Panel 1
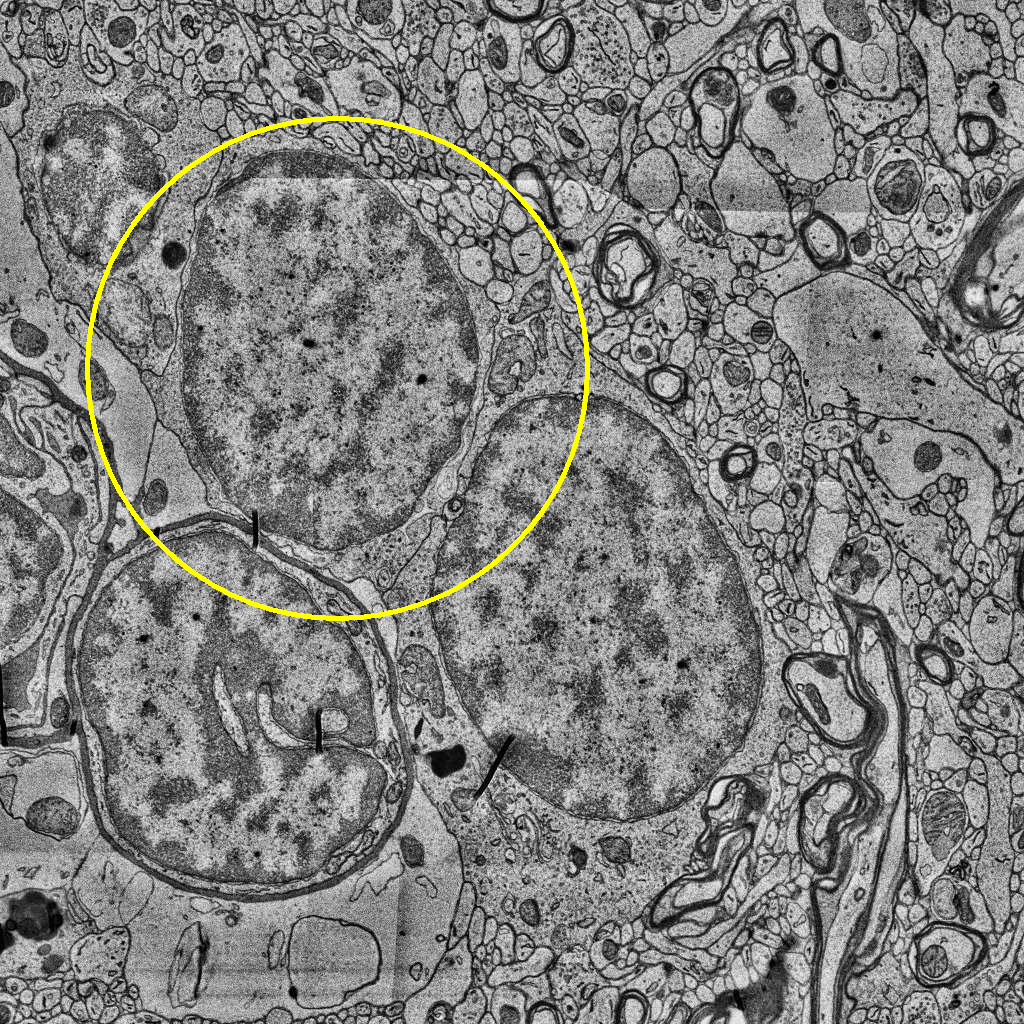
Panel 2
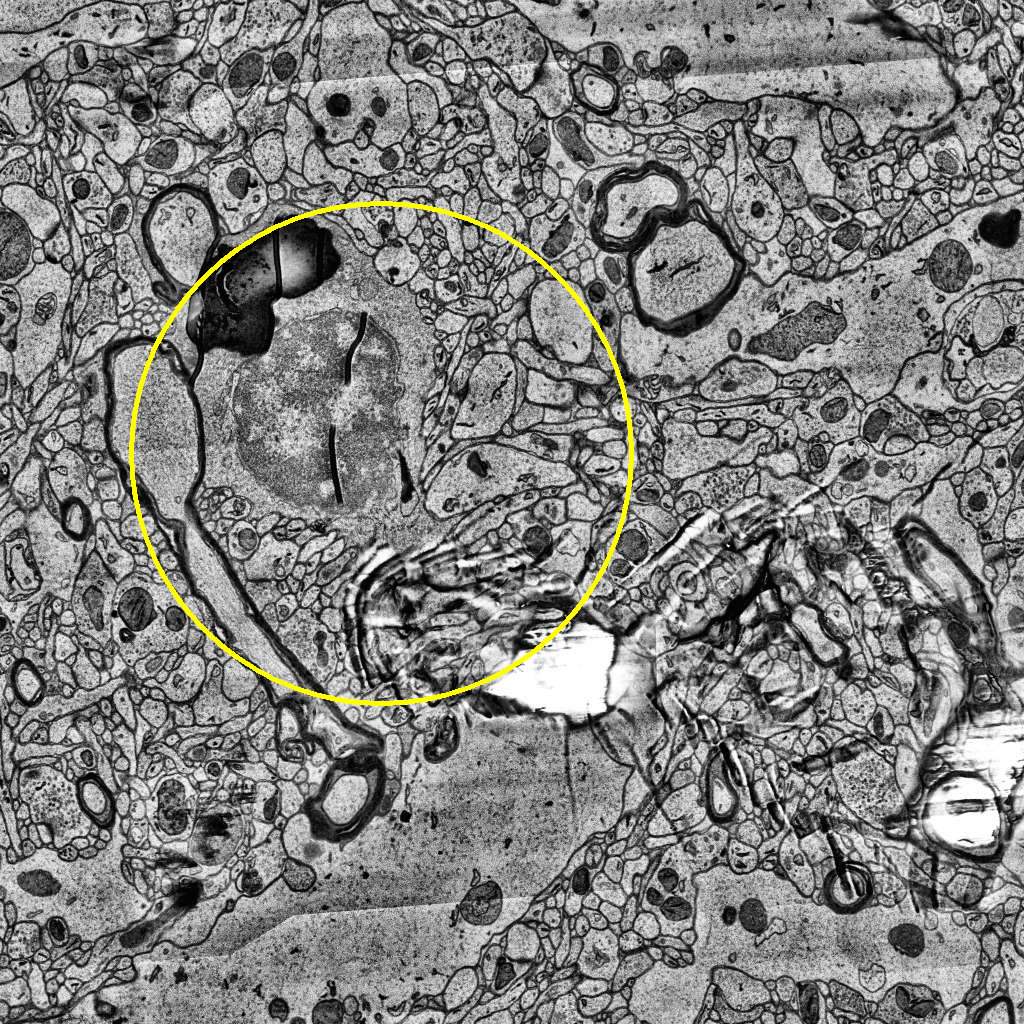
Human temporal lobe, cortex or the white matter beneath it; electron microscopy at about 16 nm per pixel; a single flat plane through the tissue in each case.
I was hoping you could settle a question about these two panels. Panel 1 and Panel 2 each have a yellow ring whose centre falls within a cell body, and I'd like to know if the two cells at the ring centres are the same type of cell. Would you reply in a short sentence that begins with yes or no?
Yes, both are the same type of cell.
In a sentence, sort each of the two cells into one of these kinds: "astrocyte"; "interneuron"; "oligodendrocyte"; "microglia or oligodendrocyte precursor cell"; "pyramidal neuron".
Both pictures show an oligodendrocyte at the centre of the ring.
